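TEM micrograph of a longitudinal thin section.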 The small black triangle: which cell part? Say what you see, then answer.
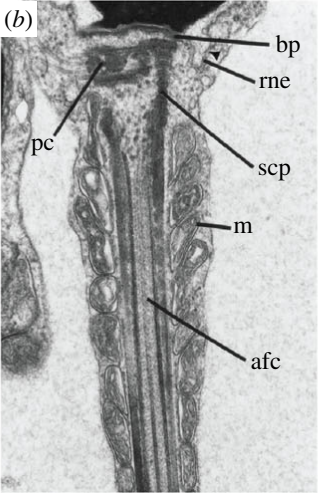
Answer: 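The triangle points at a fold of double membrane lying beside the base of the head. That points to this answer: nuclear pores.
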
